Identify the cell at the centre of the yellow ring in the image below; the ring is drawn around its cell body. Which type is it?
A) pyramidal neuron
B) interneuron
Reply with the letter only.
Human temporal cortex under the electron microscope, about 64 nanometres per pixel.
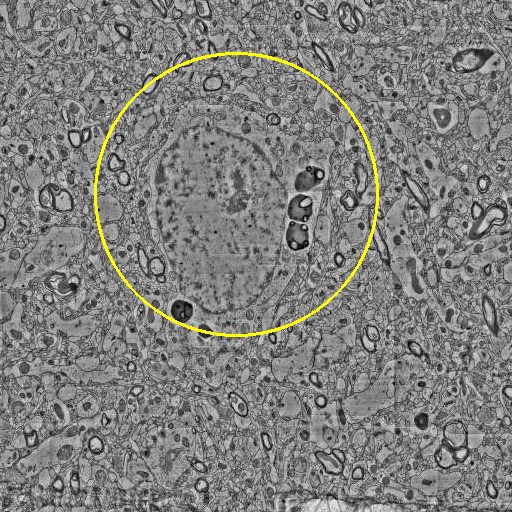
B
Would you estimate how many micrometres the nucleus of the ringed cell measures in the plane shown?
The nucleus of the ringed cell is approximately 12 by 9 micrometres in this plane.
